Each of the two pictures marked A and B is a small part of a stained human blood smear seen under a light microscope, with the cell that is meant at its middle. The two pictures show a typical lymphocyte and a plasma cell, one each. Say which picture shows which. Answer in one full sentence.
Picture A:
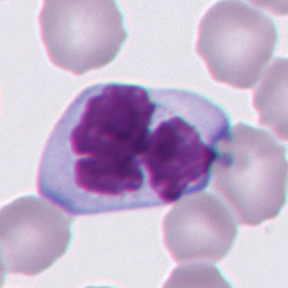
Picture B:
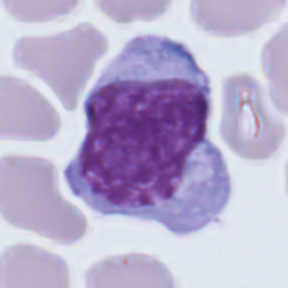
Picture B shows a plasma cell, while picture A shows a typical lymphocyte.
